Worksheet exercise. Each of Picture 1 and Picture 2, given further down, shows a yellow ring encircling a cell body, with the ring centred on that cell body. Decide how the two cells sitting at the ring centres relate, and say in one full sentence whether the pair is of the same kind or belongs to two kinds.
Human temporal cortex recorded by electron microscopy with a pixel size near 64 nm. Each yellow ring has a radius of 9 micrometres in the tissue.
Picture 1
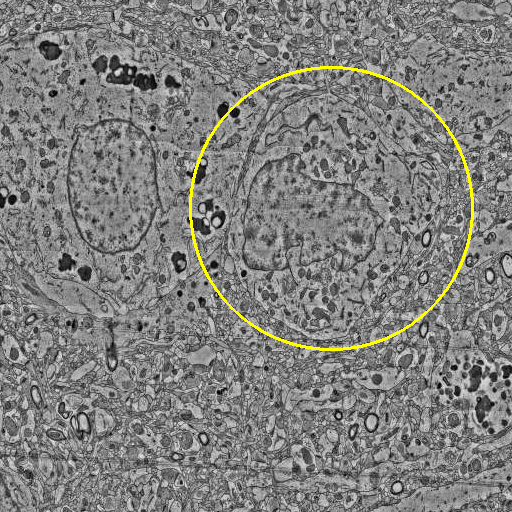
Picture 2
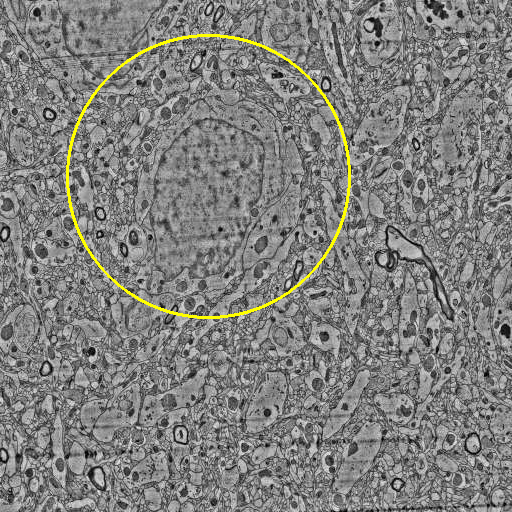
The cells at the ring centres in Picture 1 and Picture 2 are of the same kind.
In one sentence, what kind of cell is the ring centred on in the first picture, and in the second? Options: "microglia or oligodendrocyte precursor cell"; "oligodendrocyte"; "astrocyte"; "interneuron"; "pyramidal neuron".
The ring centre holds an interneuron in each of the two pictures.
